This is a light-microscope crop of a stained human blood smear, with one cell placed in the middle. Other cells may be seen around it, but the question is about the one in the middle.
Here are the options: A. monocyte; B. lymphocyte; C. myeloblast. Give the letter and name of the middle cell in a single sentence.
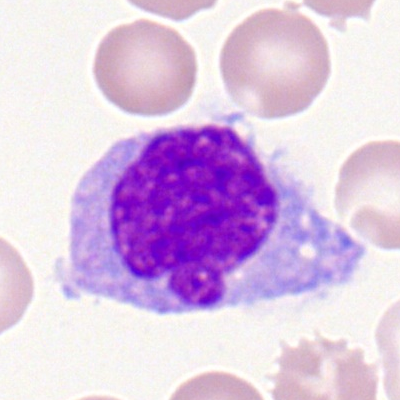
What sits in the middle of the crop is a monocyte, and option A is correct.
